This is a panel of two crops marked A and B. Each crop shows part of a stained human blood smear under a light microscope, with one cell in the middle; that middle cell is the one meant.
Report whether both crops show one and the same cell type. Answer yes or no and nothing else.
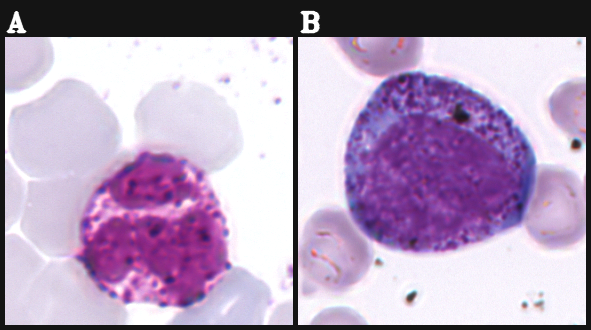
no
